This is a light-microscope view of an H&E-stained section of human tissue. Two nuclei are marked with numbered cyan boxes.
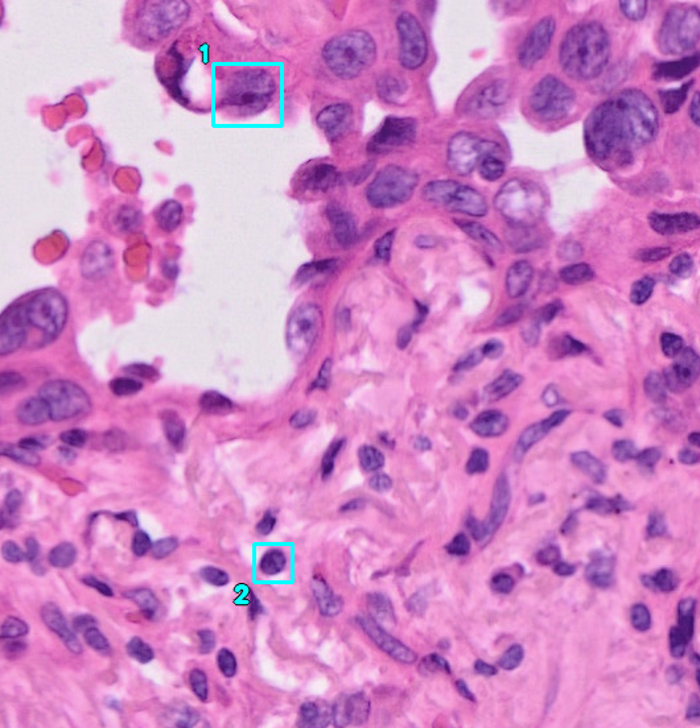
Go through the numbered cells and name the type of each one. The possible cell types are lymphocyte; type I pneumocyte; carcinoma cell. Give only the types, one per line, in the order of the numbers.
carcinoma cell
lymphocyte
